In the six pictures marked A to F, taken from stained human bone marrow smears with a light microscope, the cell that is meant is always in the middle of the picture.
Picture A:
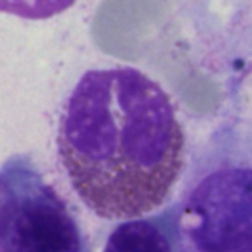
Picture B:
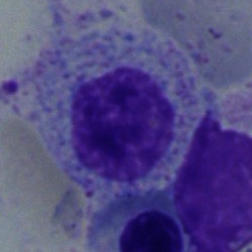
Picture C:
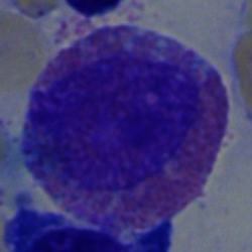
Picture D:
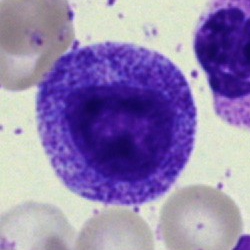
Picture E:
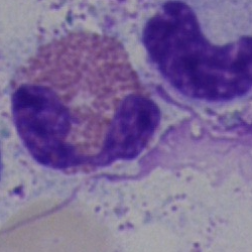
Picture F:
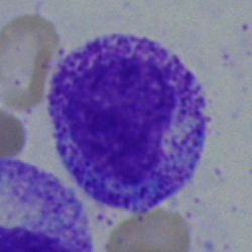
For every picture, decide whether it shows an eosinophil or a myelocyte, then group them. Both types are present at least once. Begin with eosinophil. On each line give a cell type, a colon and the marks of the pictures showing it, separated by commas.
eosinophil: A, C, E
myelocyte: B, D, F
